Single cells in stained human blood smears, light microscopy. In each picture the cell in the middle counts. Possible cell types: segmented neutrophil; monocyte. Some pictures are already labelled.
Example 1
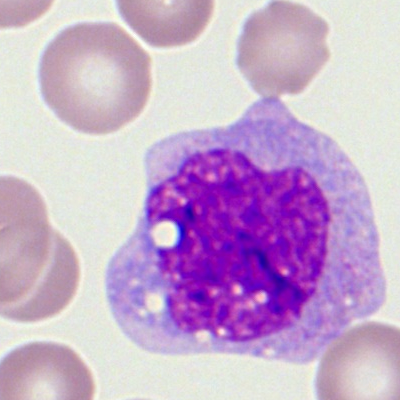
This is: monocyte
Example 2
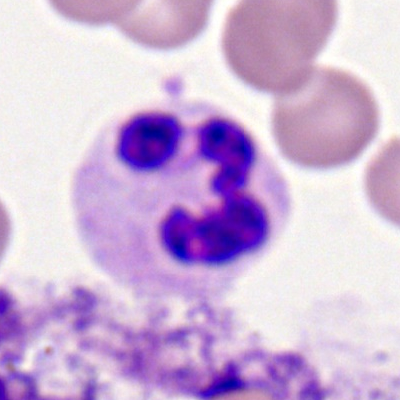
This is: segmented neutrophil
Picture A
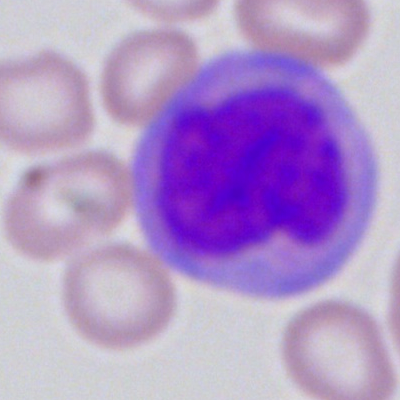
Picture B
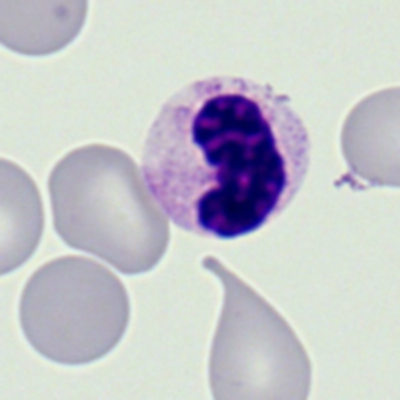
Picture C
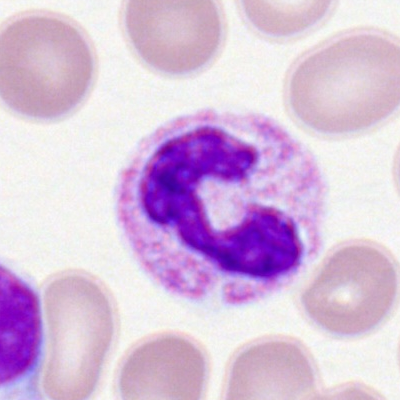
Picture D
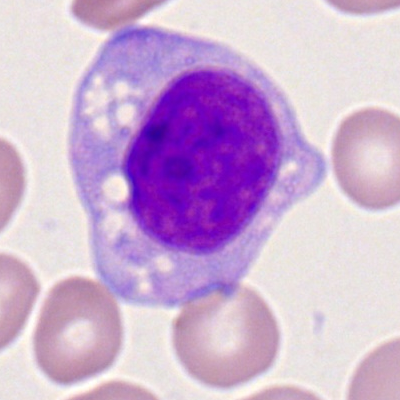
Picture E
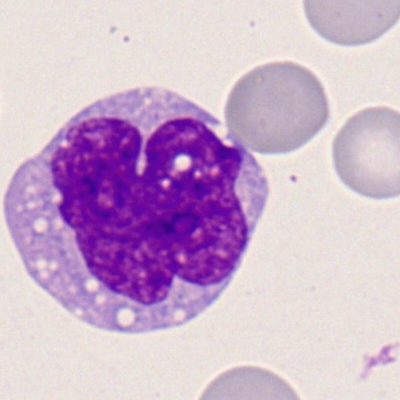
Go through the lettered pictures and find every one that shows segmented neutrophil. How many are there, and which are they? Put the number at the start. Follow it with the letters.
2: B, C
